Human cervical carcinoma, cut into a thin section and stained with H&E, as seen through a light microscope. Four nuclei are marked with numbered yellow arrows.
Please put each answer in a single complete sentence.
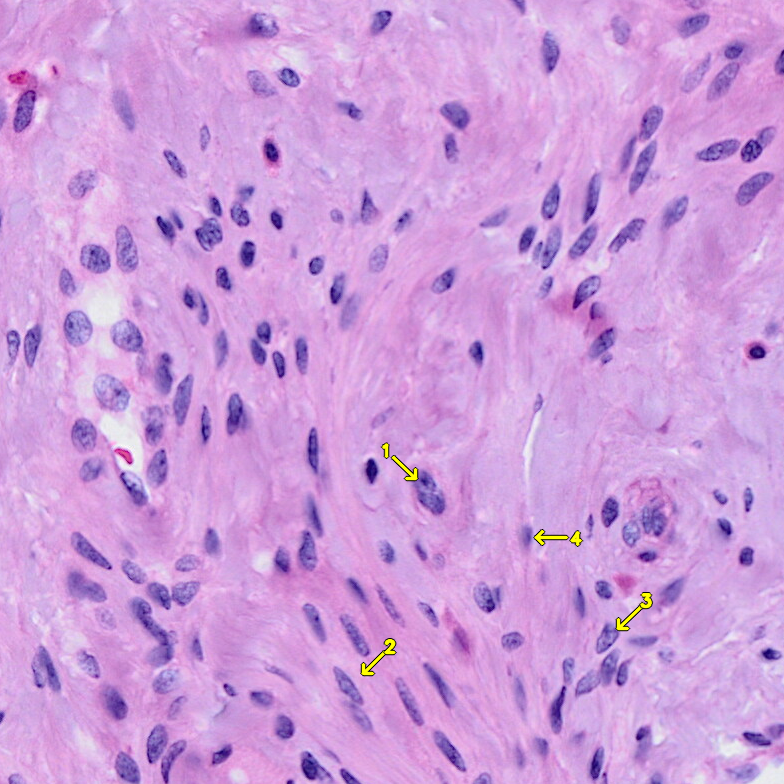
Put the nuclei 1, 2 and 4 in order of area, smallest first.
From smallest to largest, the order is 4, 2, 1.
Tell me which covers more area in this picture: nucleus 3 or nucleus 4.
Nucleus 3 covers more area, about 2 times as much as nucleus 4.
